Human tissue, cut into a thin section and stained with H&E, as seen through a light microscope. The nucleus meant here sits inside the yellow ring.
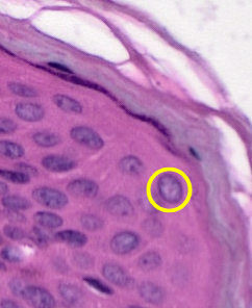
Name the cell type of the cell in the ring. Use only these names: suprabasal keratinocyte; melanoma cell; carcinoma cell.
suprabasal keratinocyte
